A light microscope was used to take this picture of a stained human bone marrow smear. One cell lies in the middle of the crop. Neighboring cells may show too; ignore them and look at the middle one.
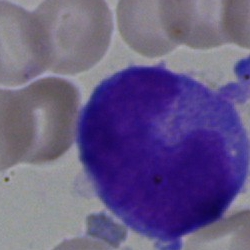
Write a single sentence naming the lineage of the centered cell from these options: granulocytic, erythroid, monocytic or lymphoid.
The centered cell should be recorded as belonging to the monocytic lineage.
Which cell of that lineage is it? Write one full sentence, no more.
The crop's centre is taken up by a monocyte.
